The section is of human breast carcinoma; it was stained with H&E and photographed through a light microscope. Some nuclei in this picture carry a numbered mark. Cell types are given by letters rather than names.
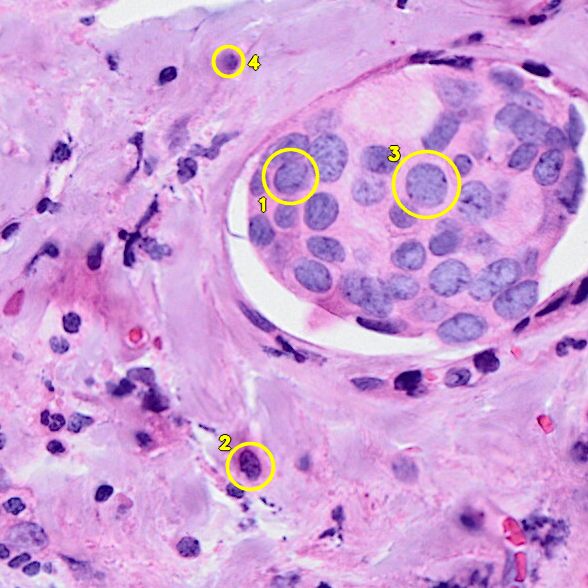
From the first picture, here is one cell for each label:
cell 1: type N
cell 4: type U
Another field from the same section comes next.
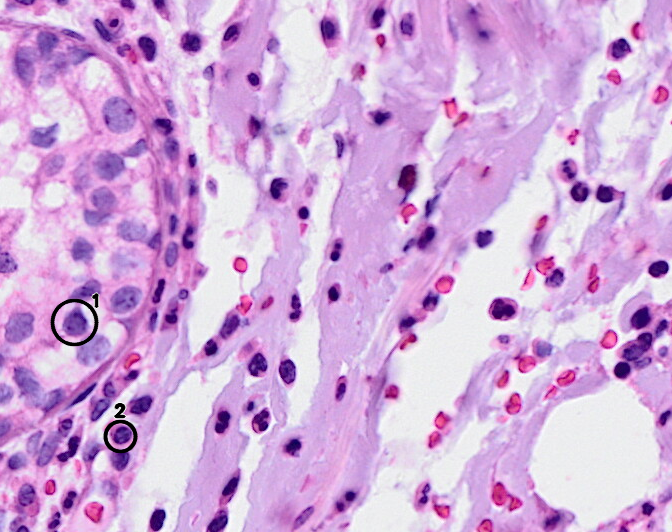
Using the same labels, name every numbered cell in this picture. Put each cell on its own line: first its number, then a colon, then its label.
1: type N
2: type U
